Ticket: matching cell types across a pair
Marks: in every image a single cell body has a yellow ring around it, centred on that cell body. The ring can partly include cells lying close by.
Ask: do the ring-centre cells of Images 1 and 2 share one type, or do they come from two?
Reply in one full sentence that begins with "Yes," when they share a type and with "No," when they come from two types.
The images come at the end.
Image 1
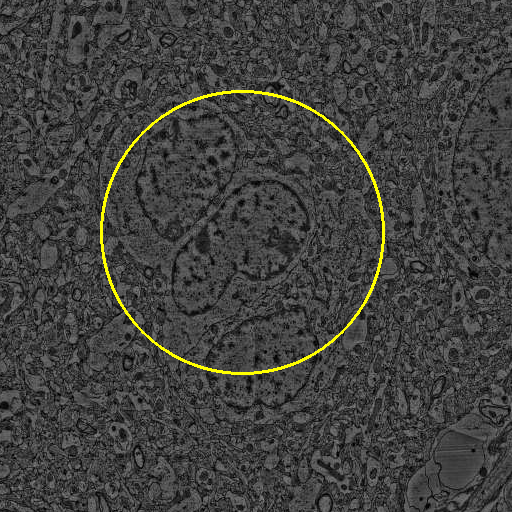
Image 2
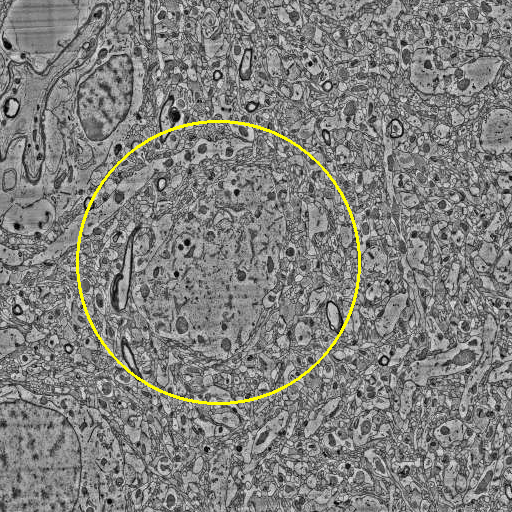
No, the cells in the centres of the rings in Image 1 and Image 2 come from two types.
